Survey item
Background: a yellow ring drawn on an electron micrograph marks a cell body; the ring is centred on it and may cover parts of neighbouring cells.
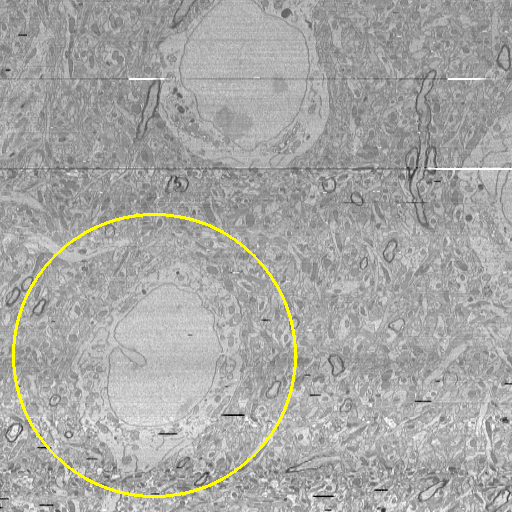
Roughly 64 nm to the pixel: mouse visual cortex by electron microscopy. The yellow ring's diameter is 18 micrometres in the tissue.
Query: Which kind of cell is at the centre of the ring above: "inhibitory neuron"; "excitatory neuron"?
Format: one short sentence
The cell in the middle of the ring is an excitatory neuron.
